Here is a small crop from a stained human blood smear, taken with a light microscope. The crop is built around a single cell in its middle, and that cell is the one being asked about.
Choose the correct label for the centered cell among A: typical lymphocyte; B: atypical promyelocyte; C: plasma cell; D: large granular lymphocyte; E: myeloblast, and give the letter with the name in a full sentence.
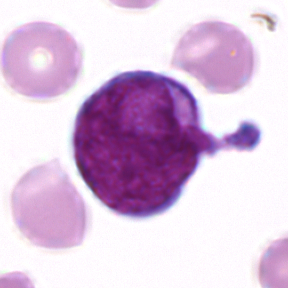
The correct option, B, names the middle cell as an atypical promyelocyte.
